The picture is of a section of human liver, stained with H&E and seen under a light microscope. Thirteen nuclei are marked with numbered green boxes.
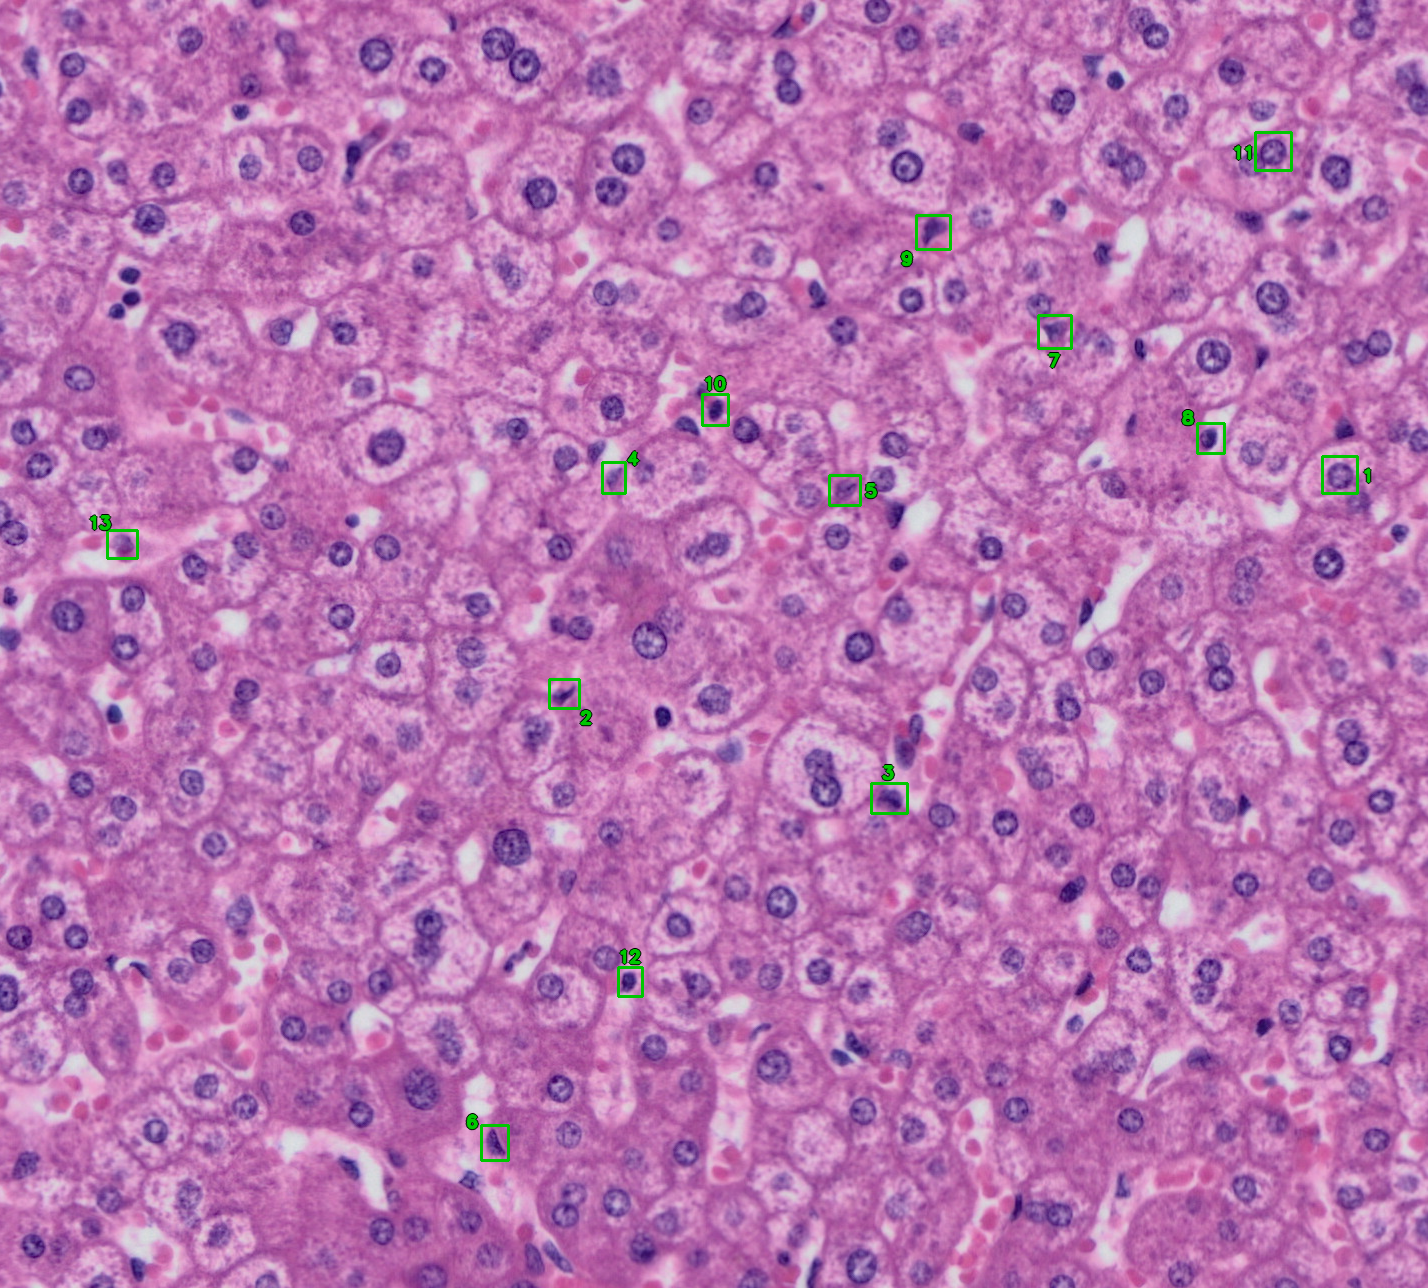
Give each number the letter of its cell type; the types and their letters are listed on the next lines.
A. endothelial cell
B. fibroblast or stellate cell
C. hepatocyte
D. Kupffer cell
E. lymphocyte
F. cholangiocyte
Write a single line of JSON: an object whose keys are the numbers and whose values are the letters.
{"1": "C", "2": "A", "3": "B", "4": "A", "5": "A", "6": "B", "7": "A", "8": "E", "9": "A", "10": "E", "11": "C", "12": "E", "13": "D"}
